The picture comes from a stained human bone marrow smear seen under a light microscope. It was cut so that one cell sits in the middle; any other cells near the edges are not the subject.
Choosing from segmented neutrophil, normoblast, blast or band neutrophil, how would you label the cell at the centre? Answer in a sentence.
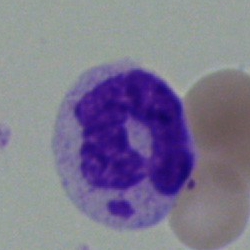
Positioned in the middle of the crop is a band neutrophil.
